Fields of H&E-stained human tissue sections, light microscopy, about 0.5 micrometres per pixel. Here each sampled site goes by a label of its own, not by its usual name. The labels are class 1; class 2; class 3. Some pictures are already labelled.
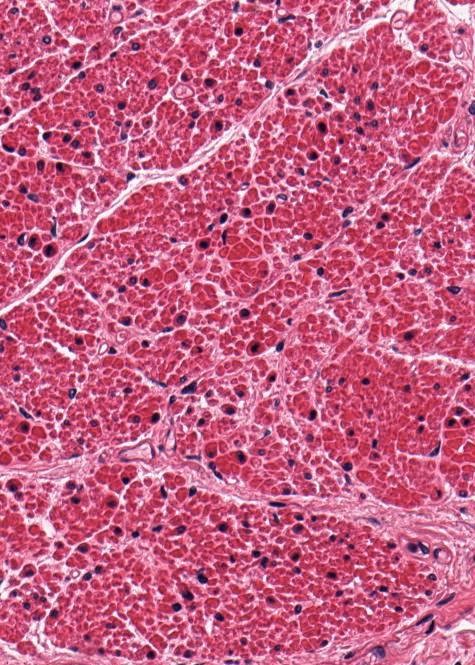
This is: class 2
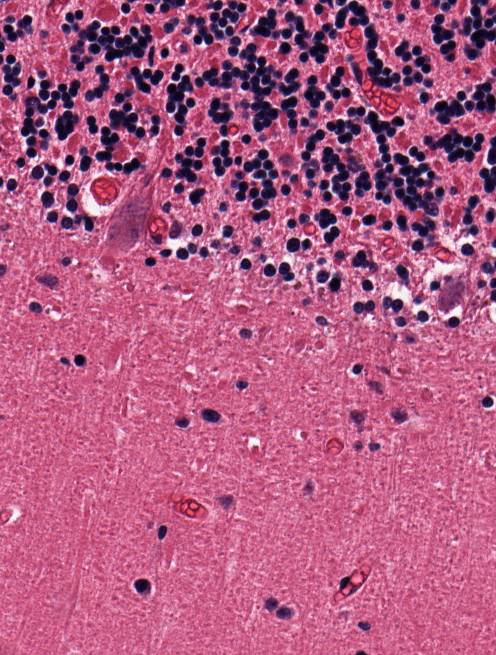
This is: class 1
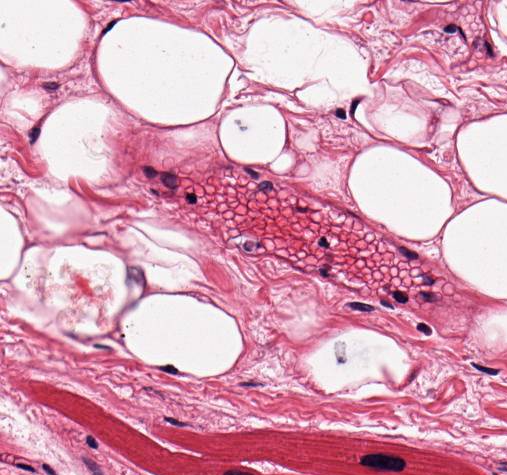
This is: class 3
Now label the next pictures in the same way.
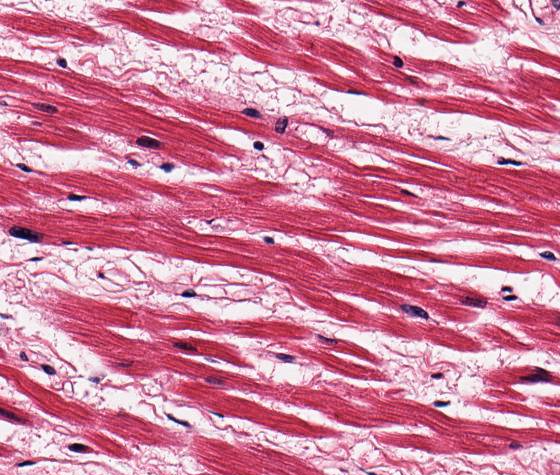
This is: class 3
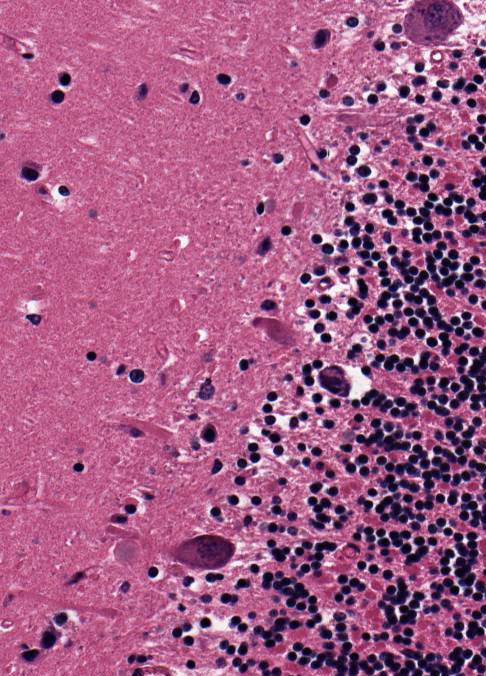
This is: class 1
